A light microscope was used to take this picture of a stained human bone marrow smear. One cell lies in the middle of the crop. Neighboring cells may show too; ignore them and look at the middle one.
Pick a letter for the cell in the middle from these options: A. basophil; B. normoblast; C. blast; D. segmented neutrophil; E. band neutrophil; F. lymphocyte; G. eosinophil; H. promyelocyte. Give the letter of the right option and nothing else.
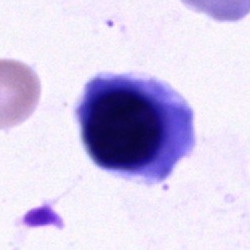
B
